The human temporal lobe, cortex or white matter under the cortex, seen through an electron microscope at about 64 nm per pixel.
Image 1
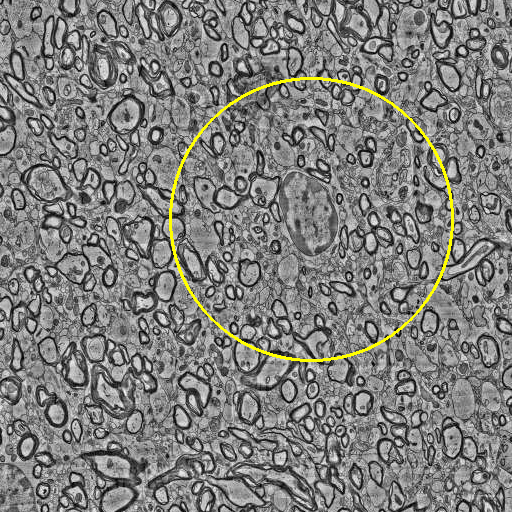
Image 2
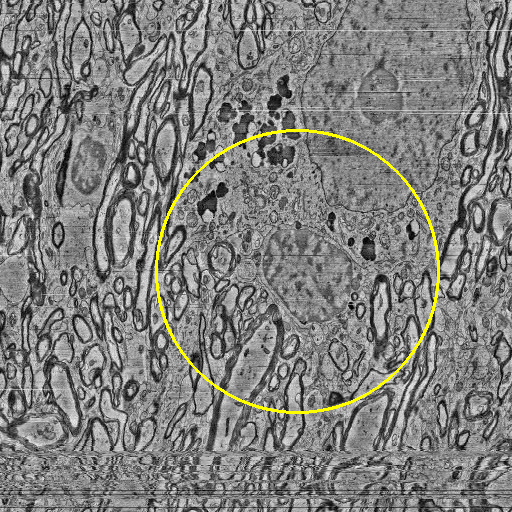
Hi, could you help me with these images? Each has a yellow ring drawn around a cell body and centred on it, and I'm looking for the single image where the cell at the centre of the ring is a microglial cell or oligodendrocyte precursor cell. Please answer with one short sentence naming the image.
It is Image 1 that has it at the centre of its ring.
